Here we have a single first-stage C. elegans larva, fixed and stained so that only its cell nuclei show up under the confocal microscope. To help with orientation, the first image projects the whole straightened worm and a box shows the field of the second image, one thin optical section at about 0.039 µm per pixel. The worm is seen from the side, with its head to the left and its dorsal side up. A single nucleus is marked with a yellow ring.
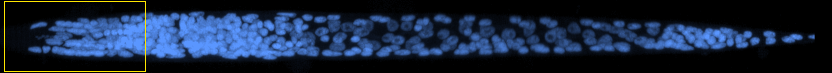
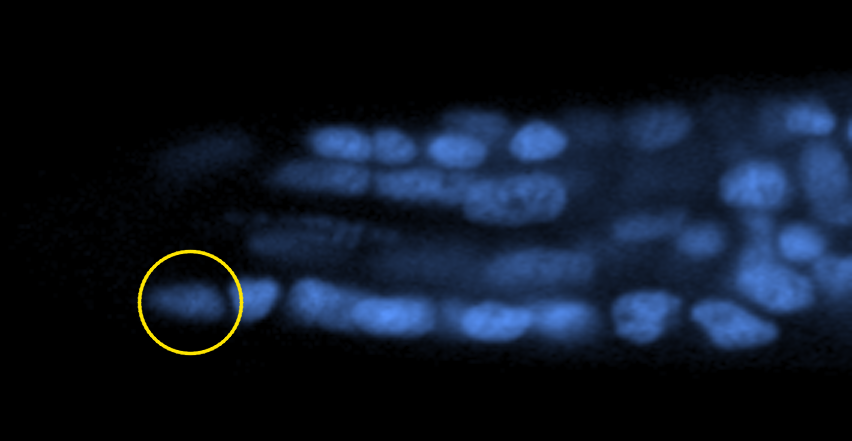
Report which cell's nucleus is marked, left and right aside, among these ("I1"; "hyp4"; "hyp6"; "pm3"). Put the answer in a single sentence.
The marked nucleus is that of hyp4, a hypodermal cell (hyp).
